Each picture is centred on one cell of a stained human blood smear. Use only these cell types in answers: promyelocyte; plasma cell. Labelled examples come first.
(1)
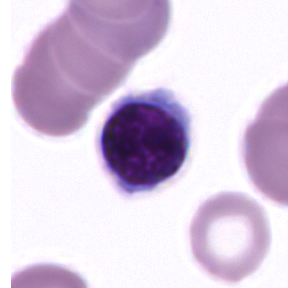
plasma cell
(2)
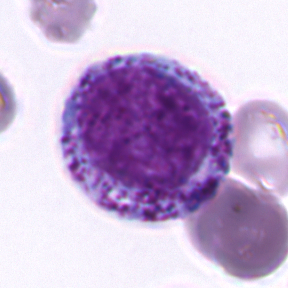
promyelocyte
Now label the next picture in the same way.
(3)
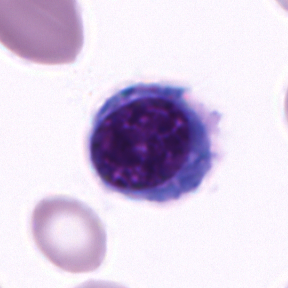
plasma cell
